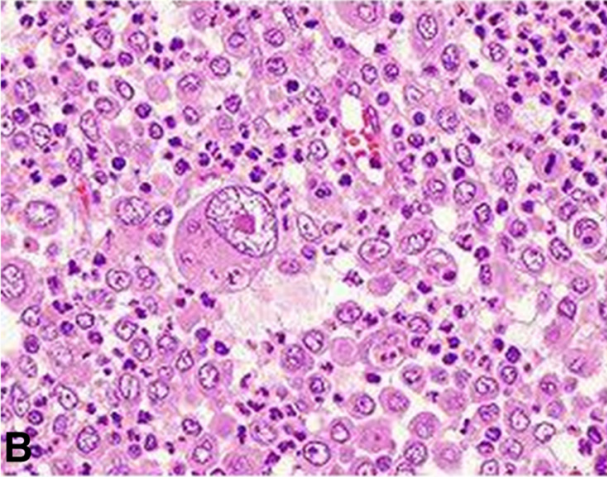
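This shows a diffuse, non-cohesive sheet of large neoplastic cells that resemble histiocytes, lying in a background of inflammatory cells. Near the centre lies a much larger cell with a large nucleus and engulfed material in its cytoplasm. Between the tumor cells are many small cells with dark lobed nuclei, neutrophils, and small round lymphocytes.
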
